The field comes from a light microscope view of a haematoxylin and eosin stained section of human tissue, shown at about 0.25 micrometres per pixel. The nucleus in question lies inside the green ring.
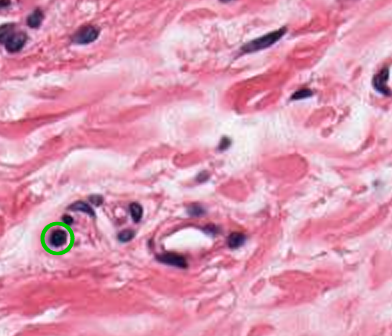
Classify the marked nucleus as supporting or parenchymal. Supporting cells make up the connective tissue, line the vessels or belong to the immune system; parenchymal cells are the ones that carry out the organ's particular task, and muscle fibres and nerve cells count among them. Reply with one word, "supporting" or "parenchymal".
supporting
